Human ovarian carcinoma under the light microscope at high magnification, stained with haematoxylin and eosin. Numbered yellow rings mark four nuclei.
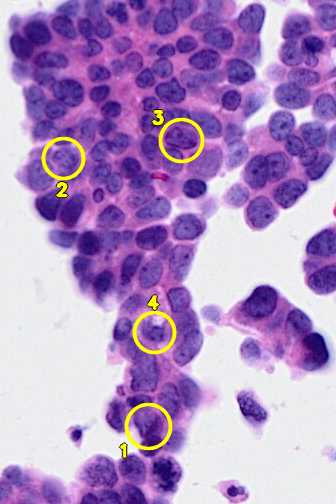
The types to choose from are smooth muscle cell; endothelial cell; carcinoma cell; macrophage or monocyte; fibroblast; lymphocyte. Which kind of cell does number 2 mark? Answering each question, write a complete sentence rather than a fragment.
Heads up, the cell numbered 2 is a carcinoma cell.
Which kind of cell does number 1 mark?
At number 1, the marked cell is a carcinoma cell.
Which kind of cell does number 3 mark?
Cell 3 should be recorded as a carcinoma cell.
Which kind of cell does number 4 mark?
Cell 4, as marked in the section, is a macrophage or monocyte.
